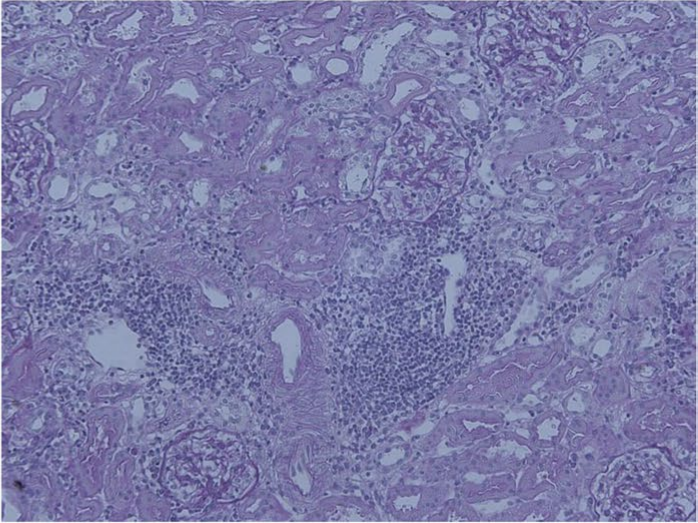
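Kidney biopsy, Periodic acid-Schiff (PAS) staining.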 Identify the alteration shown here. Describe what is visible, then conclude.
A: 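Dense sheets of small, round, dark-nucleated cells fill the space between tubules in the centre. The infiltrating cells have scant cytoplasm and lie outside tubular walls. Glomeruli and tubules are visible around the cellular aggregate. The answer: Interstitial infiltration of lymphocytes.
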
